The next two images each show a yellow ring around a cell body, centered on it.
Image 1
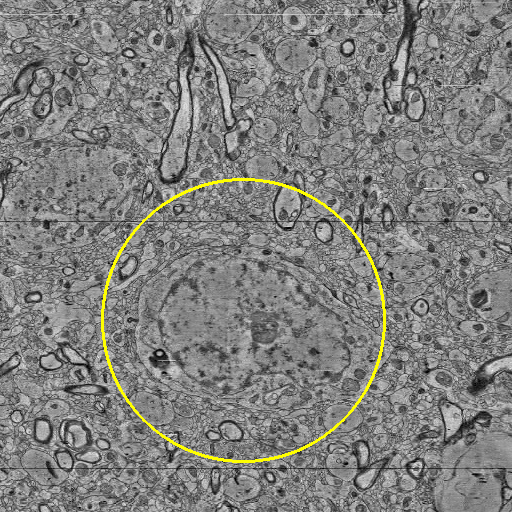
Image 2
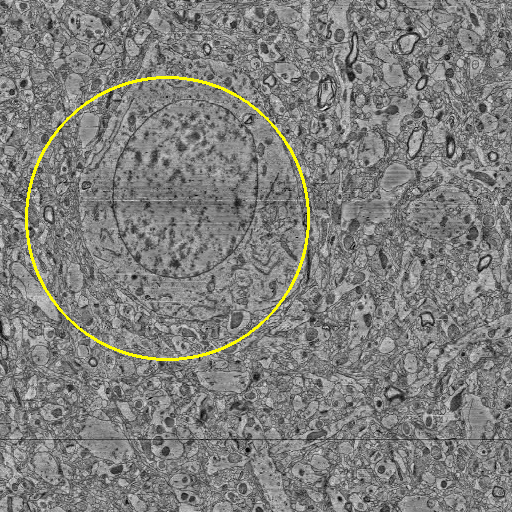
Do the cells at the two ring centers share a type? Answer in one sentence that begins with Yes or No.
No, across the two images the cells at the ring centers are of two types.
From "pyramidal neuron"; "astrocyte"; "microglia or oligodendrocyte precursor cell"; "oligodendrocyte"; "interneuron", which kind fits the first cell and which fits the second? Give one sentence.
The cell marked in the first picture is an interneuron, and the one marked in the second is a pyramidal neuron.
